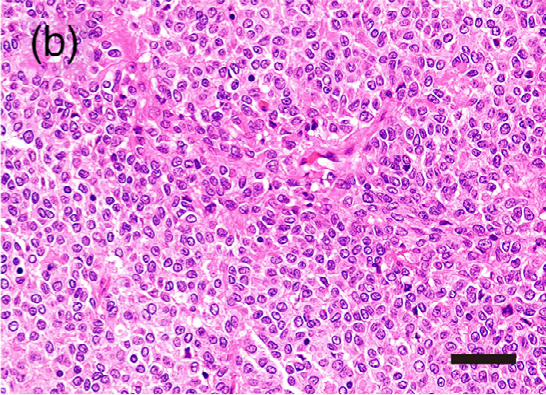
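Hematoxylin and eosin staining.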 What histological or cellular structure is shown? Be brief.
Diffuse sheets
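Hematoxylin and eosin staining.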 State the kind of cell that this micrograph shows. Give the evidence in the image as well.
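Relatively uniform round‐to‐oval tumor cells. Densely packed cells with round to oval nuclei of similar size.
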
